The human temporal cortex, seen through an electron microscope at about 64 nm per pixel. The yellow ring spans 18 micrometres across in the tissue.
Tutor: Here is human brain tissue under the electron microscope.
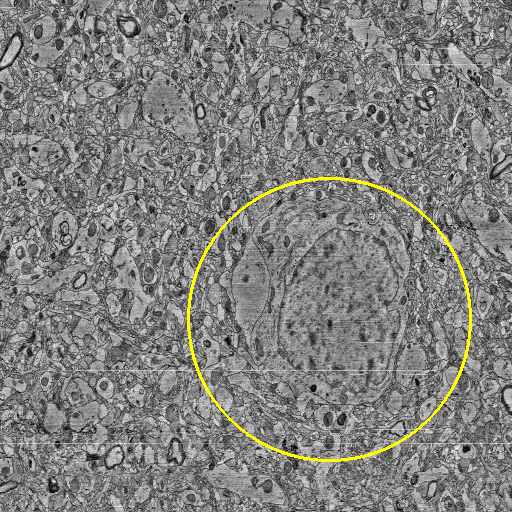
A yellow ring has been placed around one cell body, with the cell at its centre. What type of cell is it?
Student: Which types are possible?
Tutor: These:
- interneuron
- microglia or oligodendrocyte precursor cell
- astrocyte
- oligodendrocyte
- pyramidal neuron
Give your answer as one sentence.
What the ring picks out here is an interneuron.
